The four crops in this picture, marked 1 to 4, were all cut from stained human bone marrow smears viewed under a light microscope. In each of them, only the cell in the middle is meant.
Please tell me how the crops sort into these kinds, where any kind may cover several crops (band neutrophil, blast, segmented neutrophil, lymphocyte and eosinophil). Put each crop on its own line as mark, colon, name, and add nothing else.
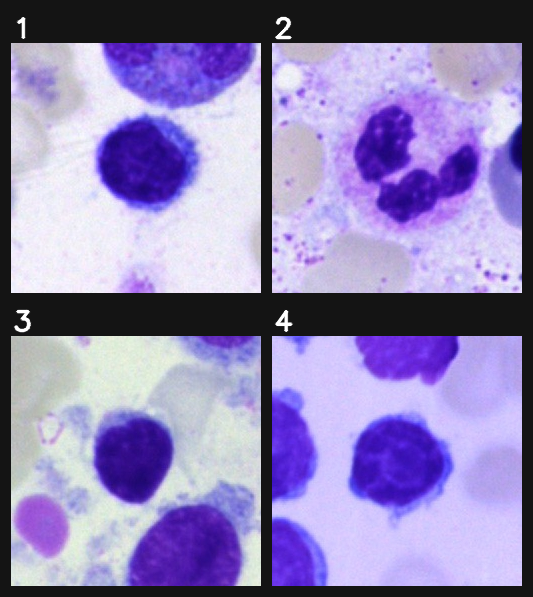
1: lymphocyte
2: segmented neutrophil
3: lymphocyte
4: lymphocyte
